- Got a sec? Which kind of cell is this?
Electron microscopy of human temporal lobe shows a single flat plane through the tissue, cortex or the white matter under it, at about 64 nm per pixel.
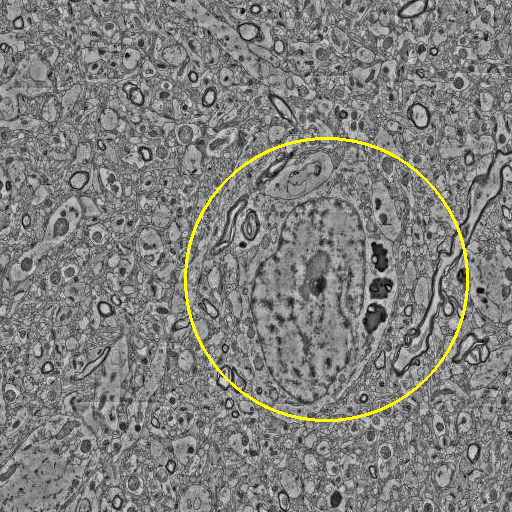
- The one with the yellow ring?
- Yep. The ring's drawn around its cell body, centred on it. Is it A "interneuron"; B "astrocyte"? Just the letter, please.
A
